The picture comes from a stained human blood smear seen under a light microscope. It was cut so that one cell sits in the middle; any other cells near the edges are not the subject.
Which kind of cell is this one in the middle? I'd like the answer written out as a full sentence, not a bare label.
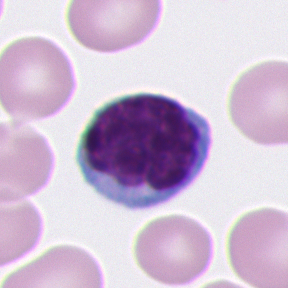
Answering briefly, the cell in the middle is a typical lymphocyte.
